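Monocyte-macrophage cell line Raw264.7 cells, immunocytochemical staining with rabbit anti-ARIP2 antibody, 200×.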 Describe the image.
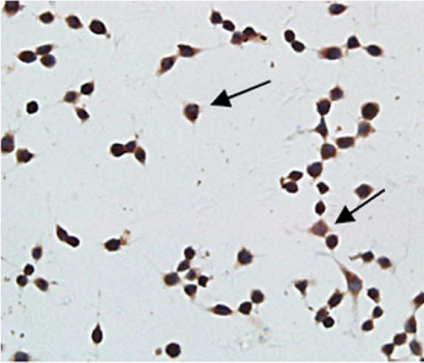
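A dark nucleus takes up much of each cell, surrounded by a rim of brown-stained cytoplasm. Arrows point to brown-stained cells.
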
